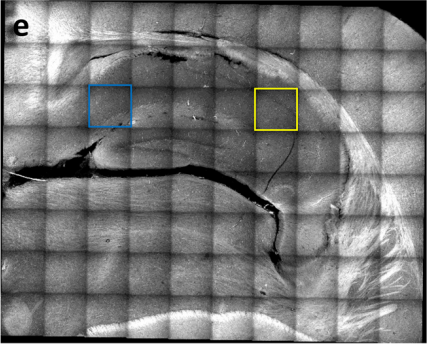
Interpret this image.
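The hippocampus is seen as a curved grey band arching across the slice and bordered by long dark clefts. Bright streaks of fibre bundles run around its right-hand side and along the lower edge of the section.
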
